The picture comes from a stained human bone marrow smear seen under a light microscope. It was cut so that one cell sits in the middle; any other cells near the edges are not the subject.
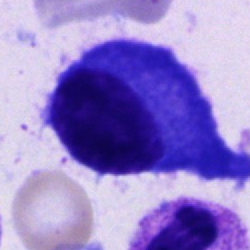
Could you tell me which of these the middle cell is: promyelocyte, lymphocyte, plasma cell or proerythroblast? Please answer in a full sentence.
In the middle of this smear crop, the cell is a plasma cell.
